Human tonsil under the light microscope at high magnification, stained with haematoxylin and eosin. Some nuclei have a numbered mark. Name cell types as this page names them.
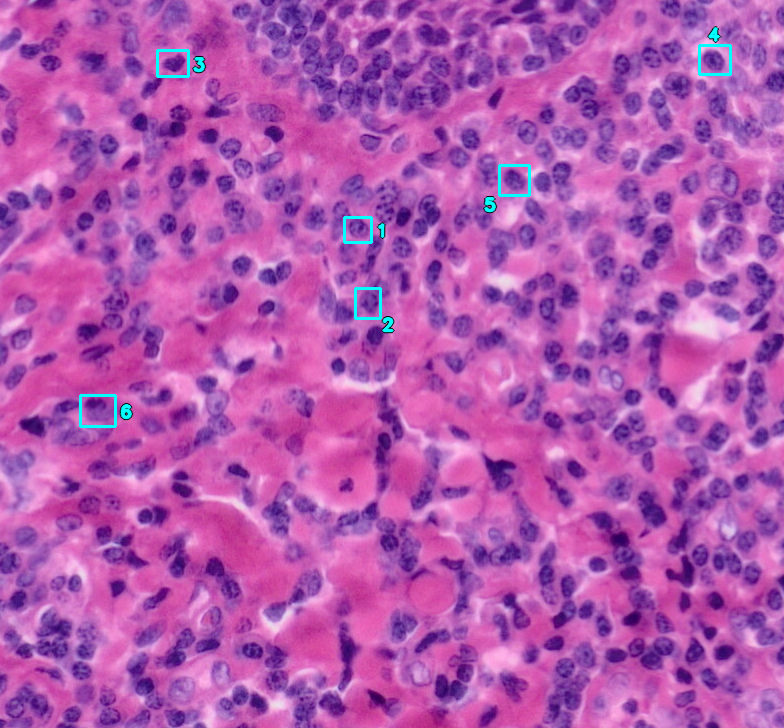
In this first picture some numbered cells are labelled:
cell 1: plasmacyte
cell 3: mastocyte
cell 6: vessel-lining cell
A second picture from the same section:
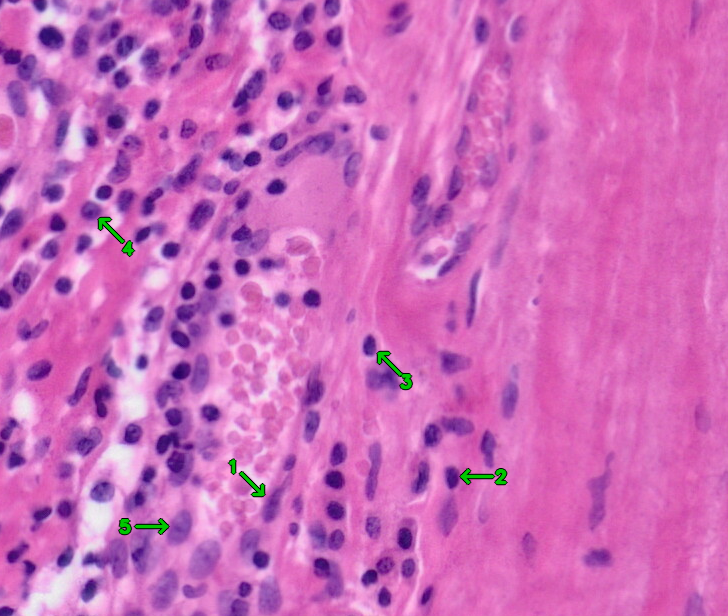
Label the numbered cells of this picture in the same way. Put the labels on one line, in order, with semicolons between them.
vessel-lining cell; mastocyte; mastocyte; plasmacyte; vessel-lining cell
